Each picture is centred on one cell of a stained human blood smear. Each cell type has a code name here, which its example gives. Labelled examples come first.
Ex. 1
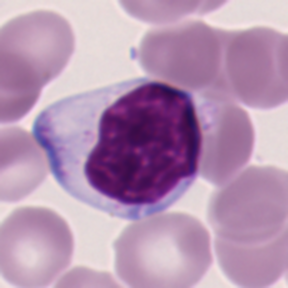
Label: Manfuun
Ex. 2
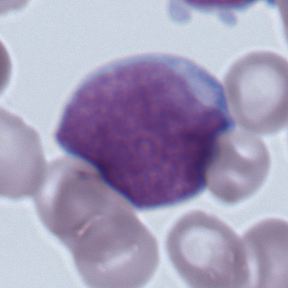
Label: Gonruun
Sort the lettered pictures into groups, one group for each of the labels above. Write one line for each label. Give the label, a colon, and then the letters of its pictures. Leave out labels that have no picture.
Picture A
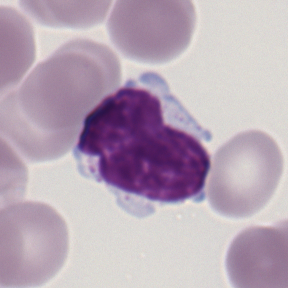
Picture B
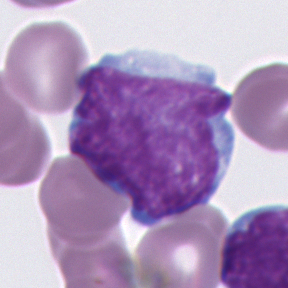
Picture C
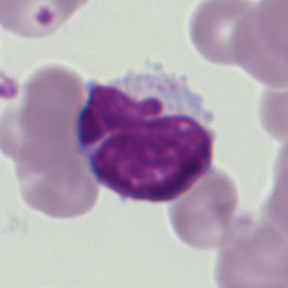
Manfuun: A, C
Gonruun: B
